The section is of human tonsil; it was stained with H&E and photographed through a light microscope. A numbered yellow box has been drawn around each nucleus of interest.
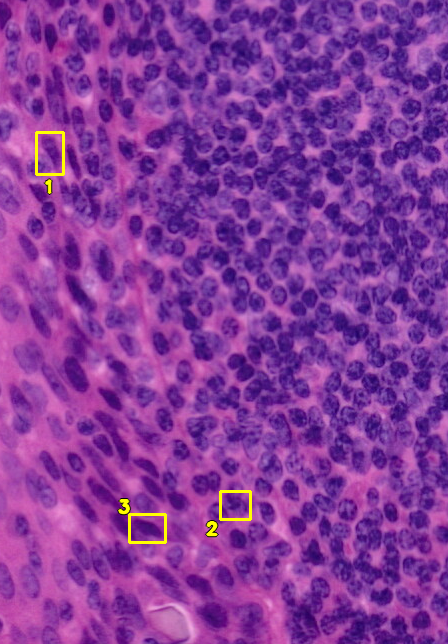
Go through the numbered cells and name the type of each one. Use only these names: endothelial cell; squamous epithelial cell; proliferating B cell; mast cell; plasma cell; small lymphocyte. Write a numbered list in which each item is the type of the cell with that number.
1. squamous epithelial cell
2. plasma cell
3. squamous epithelial cell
